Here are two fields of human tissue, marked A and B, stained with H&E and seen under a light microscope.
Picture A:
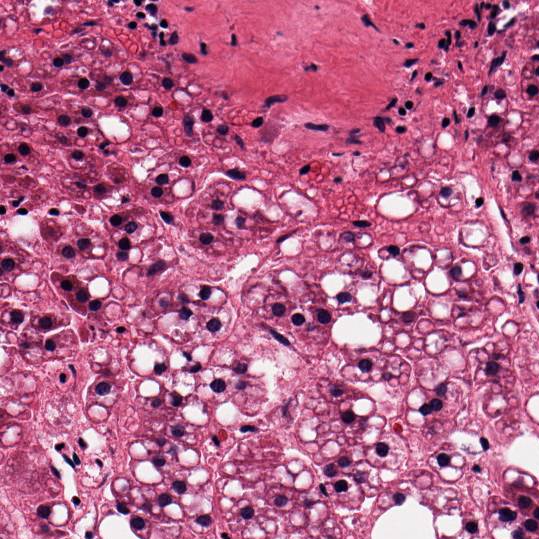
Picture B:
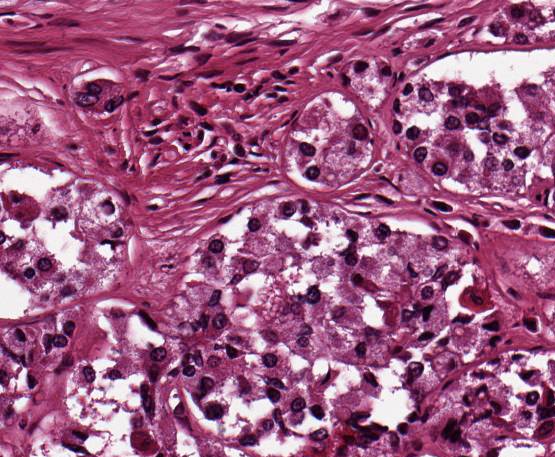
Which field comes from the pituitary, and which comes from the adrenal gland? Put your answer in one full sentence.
Picture B comes from the pituitary, while picture A comes from the adrenal gland.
